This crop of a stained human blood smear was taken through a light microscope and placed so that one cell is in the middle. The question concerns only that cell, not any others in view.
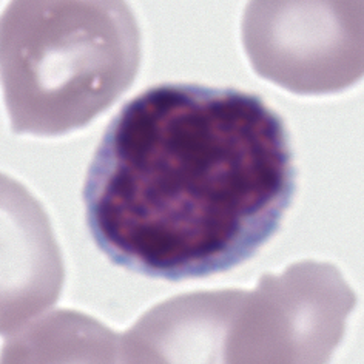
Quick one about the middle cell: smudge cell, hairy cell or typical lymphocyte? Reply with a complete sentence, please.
Standing at the centre of this crop is a typical lymphocyte.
